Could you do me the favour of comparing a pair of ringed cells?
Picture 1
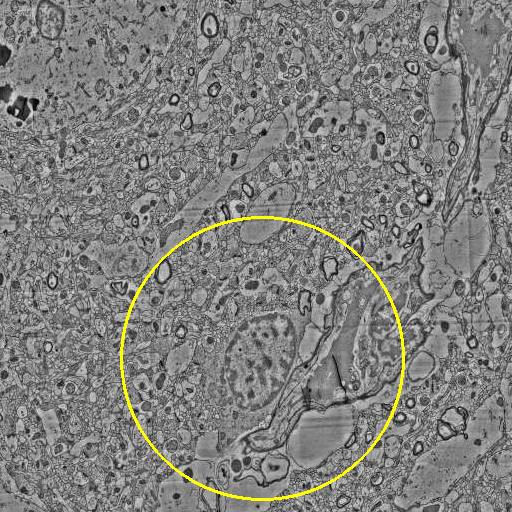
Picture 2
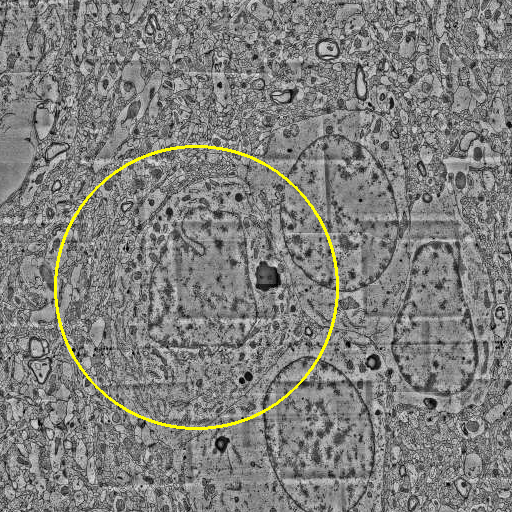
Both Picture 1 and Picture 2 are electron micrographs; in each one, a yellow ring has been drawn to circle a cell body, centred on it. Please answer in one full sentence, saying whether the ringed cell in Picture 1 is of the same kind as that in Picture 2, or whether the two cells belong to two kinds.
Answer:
The ringed cells in Picture 1 and Picture 2 belong to two kinds.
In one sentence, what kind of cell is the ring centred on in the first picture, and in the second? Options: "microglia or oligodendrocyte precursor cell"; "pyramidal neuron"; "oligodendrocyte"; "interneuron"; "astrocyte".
The cell at the centre of the second ring is an interneuron; the first ring's cell is an oligodendrocyte.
